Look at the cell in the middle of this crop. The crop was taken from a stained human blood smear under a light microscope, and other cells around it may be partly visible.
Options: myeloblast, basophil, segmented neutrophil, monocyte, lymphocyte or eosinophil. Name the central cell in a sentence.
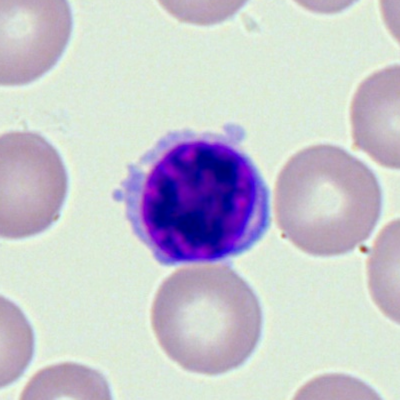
This particular crop is centered on a lymphocyte.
